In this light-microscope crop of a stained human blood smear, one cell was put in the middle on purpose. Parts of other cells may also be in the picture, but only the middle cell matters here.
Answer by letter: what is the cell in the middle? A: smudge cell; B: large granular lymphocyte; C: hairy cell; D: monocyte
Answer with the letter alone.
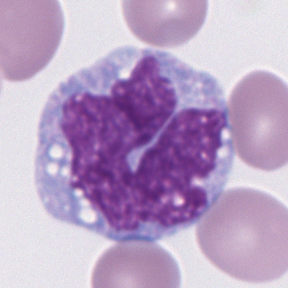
D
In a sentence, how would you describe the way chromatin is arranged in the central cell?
The chromatin is fine throughout, without coarse clumps.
